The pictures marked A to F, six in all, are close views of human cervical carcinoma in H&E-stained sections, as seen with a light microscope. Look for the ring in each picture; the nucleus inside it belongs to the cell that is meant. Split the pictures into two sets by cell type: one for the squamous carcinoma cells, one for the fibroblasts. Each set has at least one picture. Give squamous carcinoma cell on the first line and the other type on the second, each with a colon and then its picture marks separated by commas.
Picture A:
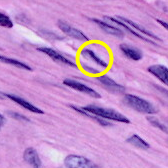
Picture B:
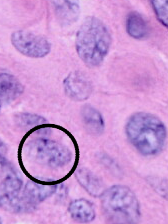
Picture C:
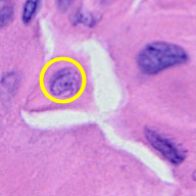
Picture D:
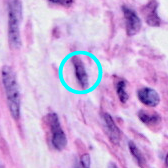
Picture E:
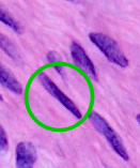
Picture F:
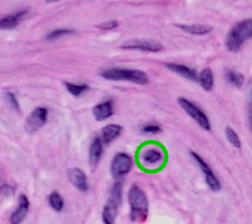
squamous carcinoma cell: B, C
fibroblast: A, D, E, F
